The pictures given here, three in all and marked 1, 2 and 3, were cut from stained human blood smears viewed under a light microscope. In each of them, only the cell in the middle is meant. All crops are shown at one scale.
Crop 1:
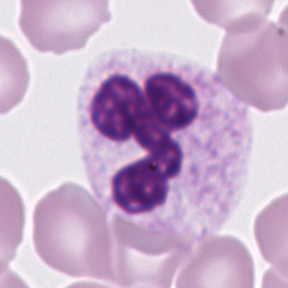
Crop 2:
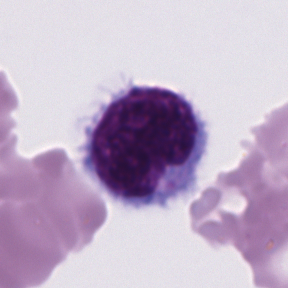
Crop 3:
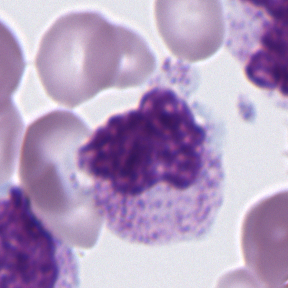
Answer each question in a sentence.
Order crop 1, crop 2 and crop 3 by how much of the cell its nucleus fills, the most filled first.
They run 2, 3, 1, the most filled first.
